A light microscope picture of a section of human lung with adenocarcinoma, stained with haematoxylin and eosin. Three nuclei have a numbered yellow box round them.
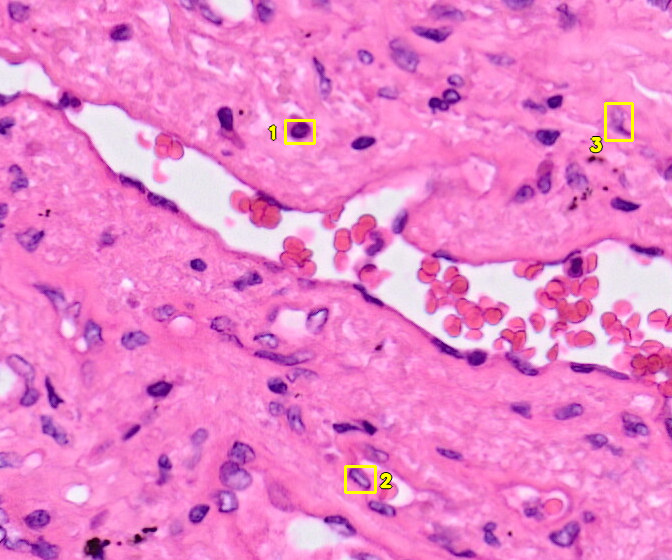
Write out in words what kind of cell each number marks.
Cell 1 is a plasma cell, cell 2 is an endothelial cell and cell 3 is a fibroblast.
